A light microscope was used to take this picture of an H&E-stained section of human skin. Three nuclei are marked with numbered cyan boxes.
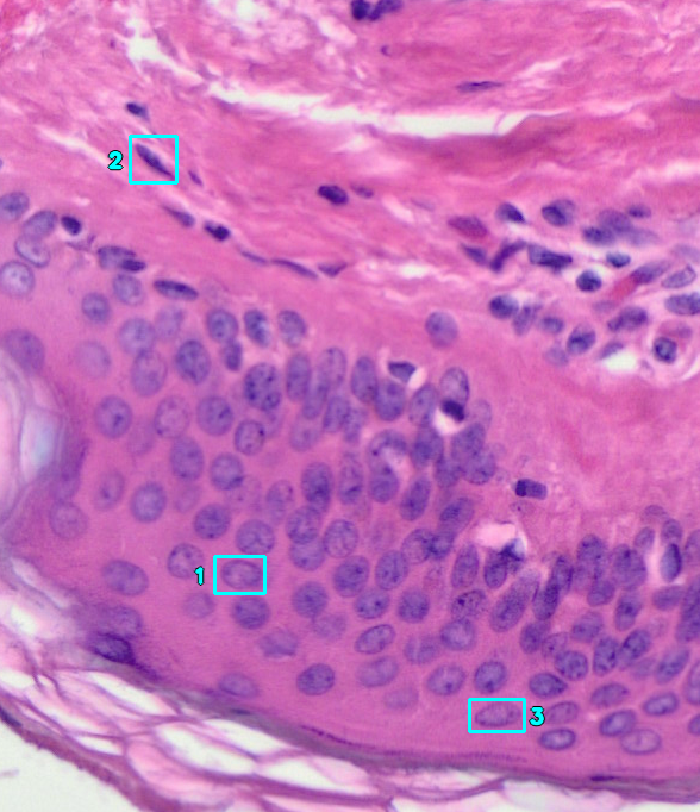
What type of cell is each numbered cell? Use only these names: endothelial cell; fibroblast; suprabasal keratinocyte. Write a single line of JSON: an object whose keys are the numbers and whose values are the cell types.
{"1": "suprabasal keratinocyte", "2": "fibroblast", "3": "suprabasal keratinocyte"}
